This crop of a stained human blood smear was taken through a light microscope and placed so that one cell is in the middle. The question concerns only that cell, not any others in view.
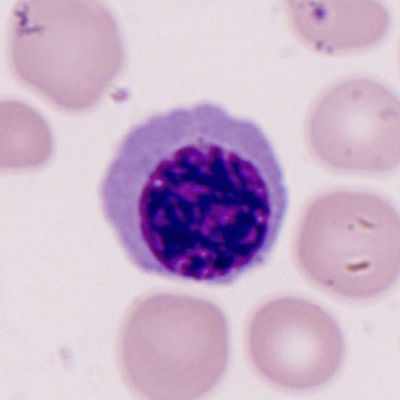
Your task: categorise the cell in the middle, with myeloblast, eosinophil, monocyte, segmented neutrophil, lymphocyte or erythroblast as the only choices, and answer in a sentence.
Framed in the middle of the crop is an erythroblast.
